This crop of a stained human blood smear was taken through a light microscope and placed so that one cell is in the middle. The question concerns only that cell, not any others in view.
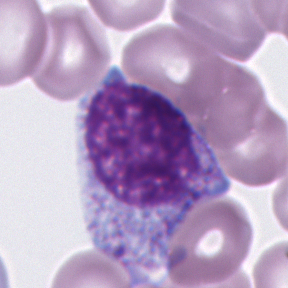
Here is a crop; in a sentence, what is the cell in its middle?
The centered cell in this crop is a myelocyte.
